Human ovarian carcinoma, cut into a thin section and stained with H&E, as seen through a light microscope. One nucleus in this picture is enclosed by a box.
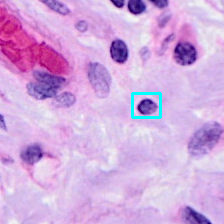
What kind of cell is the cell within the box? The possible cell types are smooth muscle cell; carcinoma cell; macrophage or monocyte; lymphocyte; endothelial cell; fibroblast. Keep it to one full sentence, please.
The identity of the cell within the box: it is a lymphocyte.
